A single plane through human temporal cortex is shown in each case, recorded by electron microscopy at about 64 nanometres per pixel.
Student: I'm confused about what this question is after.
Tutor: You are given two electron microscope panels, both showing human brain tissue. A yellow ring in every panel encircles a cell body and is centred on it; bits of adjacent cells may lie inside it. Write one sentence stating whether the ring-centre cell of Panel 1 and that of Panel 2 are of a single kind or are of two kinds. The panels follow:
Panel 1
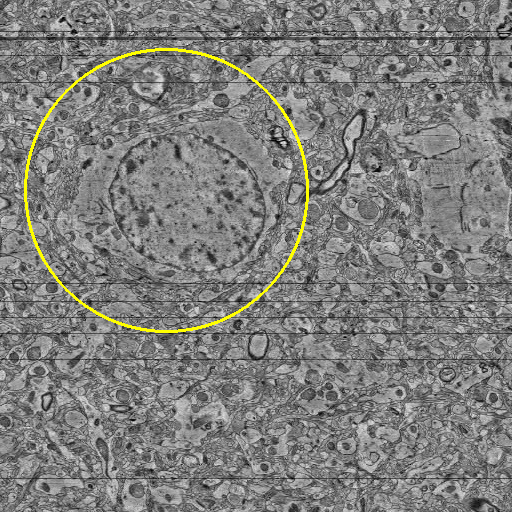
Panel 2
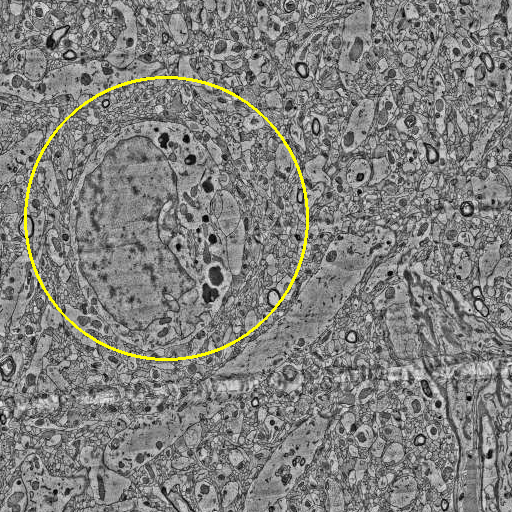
Here, the Panel 1 ring-centre cell and the Panel 2 ring-centre cell are of two kinds.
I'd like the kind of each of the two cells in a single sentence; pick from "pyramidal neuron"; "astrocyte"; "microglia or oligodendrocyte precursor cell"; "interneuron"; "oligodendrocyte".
The first ring marks an astrocyte, and the second ring marks an interneuron.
